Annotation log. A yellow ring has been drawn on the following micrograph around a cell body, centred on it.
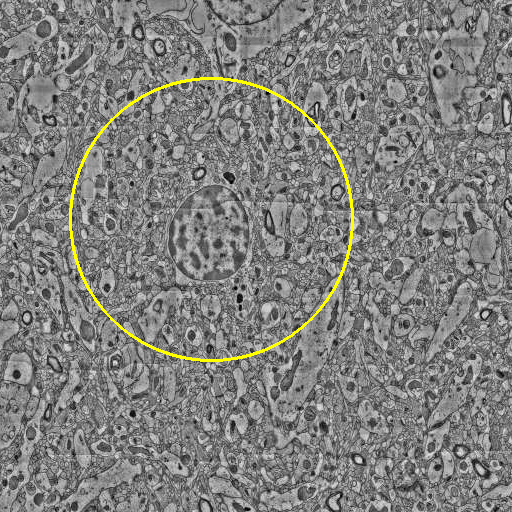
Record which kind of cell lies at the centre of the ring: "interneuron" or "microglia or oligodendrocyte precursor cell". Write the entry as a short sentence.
The cell the ring is centred on is a microglial cell or oligodendrocyte precursor cell.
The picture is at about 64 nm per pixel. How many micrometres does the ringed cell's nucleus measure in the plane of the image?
The nucleus has a long axis of about 6 micrometres and a short axis of about 5 micrometres in this plane.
